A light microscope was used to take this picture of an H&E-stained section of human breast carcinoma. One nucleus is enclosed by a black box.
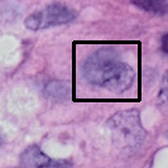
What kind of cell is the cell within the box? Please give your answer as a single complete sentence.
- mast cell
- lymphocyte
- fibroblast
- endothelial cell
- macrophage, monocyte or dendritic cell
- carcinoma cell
It is a carcinoma cell that the cell within the box represents.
